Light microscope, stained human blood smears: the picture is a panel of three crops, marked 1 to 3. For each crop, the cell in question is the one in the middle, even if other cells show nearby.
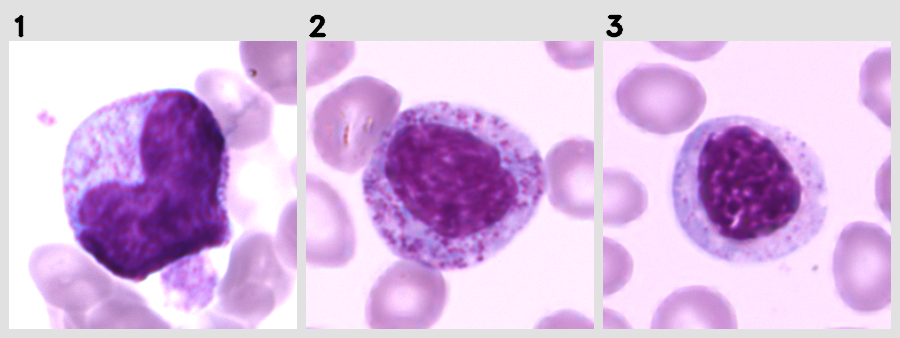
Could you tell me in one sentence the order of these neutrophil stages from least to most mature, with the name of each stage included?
The maturation order, from least to most mature, is crop 2 (a myelocyte), crop 3 (a metamyelocyte) and crop 1 (a band neutrophil).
